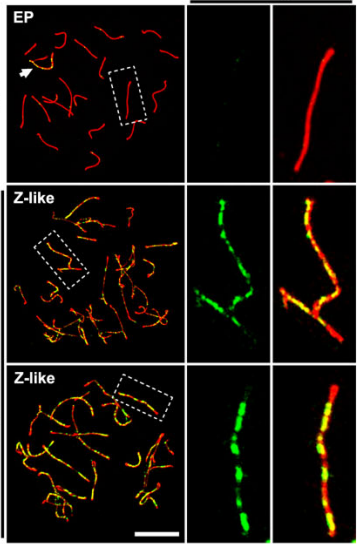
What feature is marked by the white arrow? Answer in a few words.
sex bodies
